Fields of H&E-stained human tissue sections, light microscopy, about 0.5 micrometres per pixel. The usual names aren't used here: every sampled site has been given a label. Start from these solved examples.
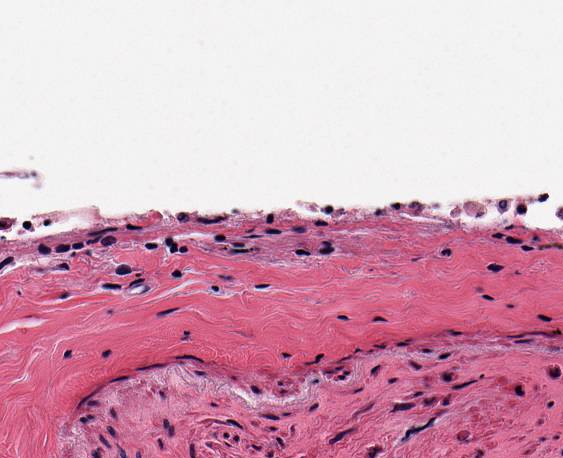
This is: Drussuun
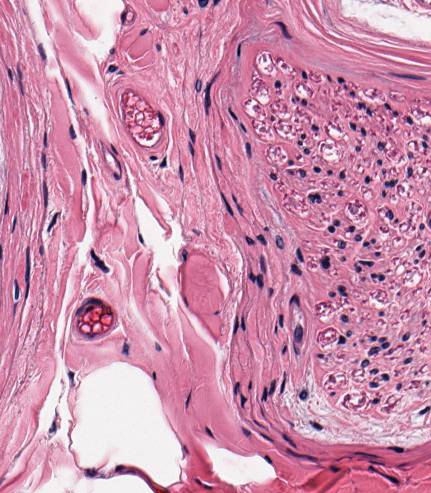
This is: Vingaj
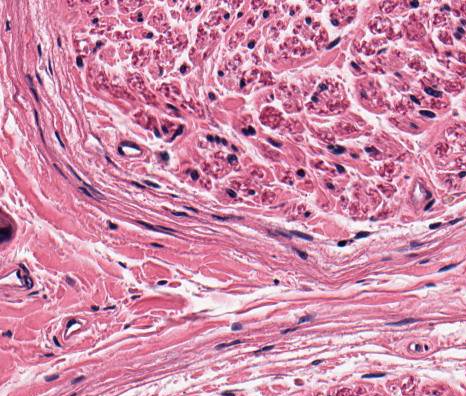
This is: Vingaj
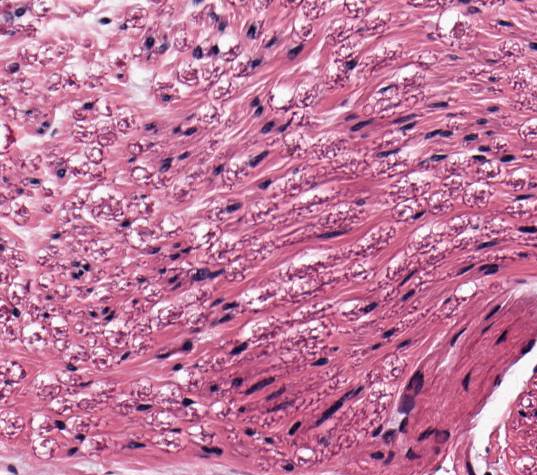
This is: Vingaj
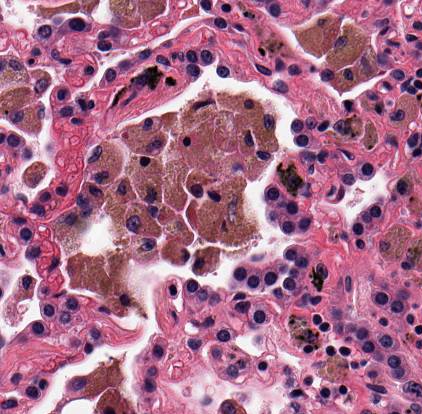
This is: Drussuun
